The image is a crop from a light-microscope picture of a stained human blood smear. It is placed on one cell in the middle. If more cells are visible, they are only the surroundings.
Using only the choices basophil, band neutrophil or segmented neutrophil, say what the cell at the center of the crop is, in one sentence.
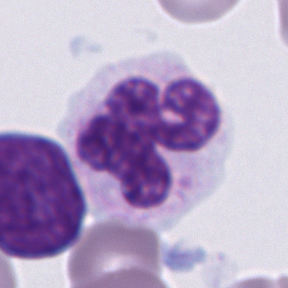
In the center of this field lies a segmented neutrophil.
